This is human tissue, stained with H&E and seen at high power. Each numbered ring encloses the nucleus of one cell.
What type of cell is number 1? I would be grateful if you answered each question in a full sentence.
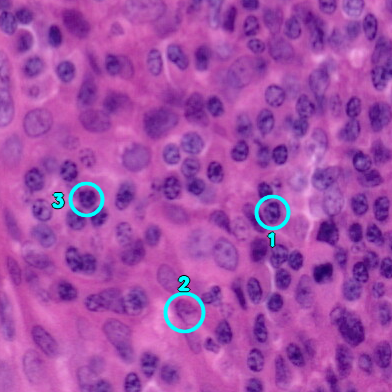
What the number 1 marks in this field is a plasma cell.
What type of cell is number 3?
The expected answer is that cell 3 is a plasma cell.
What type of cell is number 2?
Cell 2 is classified as a squamous epithelial cell.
